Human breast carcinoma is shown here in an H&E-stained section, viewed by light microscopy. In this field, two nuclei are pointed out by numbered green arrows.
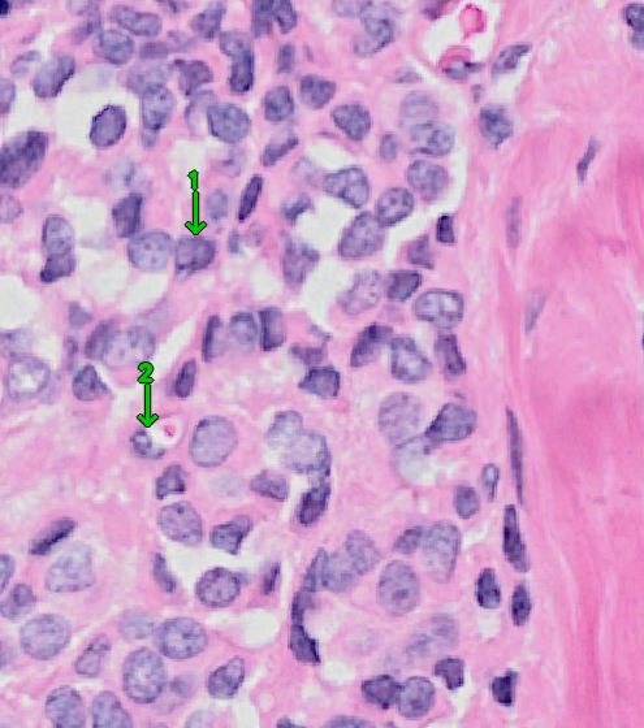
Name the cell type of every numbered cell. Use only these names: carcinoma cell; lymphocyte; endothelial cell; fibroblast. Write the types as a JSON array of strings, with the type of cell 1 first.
["carcinoma cell", "endothelial cell"]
